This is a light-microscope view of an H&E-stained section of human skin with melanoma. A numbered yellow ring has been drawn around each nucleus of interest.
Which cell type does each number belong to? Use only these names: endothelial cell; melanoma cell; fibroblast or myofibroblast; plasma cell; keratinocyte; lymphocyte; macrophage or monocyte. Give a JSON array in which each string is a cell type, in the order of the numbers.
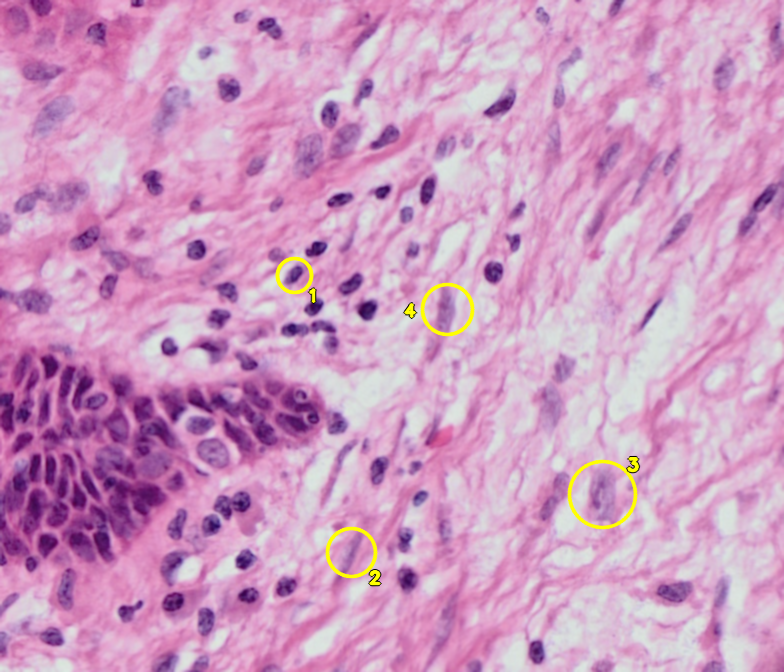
["lymphocyte", "fibroblast or myofibroblast", "fibroblast or myofibroblast", "fibroblast or myofibroblast"]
